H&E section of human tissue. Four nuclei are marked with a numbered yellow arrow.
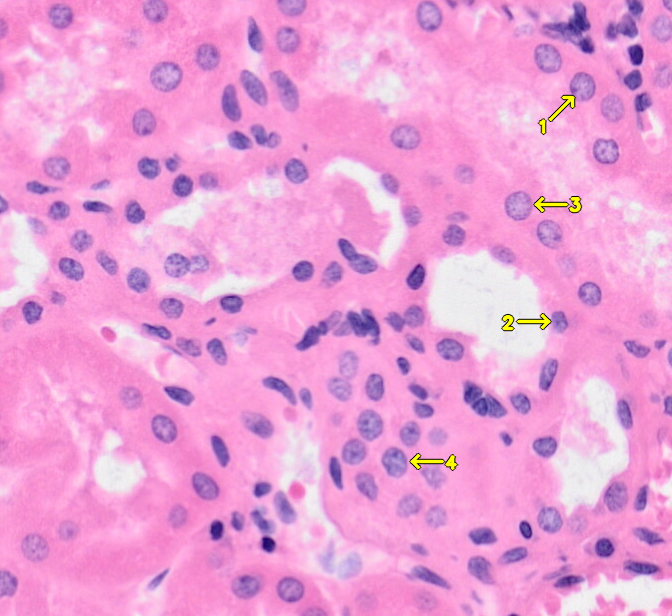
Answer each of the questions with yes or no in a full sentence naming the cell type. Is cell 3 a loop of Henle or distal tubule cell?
No, the cell given the number 3 is a proximal tubule cell, so not a loop of Henle or distal tubule cell.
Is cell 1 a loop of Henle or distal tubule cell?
No, that is wrong: cell 1 is a proximal tubule cell, and not a loop of Henle or distal tubule cell.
